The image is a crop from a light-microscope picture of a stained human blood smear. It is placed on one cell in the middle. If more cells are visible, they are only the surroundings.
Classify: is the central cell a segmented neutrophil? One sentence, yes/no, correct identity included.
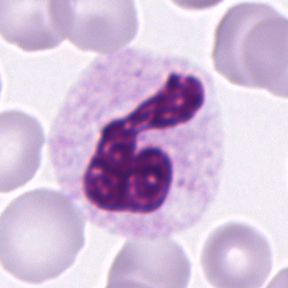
Yes, the crop is centred on a segmented neutrophil.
